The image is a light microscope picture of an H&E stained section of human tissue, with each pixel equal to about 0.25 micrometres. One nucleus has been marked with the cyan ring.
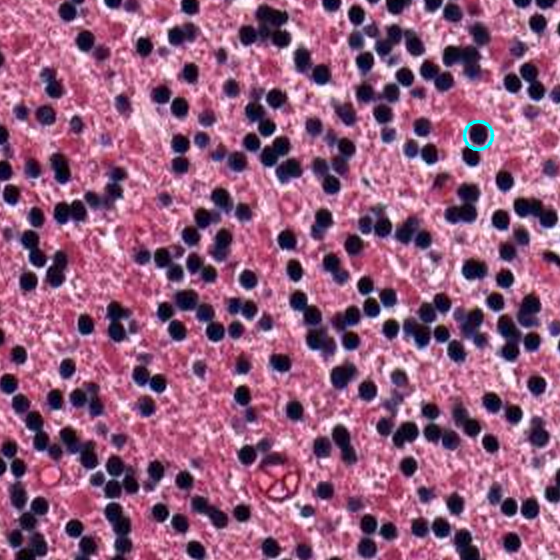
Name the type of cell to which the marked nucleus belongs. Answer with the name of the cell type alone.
cerebellar granule cell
